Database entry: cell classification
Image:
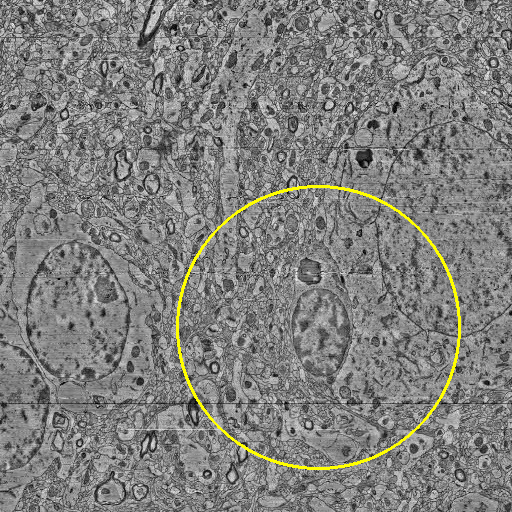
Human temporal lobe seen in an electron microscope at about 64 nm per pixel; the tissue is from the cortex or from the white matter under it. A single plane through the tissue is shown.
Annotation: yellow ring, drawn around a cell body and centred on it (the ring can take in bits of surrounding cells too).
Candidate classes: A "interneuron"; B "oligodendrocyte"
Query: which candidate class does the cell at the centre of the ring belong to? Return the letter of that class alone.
B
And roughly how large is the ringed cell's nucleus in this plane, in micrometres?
About 6 by 4 micrometers; the nucleus is clearly longer than it is wide in this plane.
